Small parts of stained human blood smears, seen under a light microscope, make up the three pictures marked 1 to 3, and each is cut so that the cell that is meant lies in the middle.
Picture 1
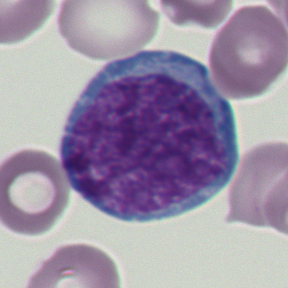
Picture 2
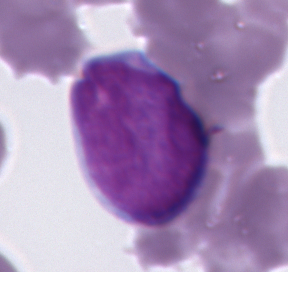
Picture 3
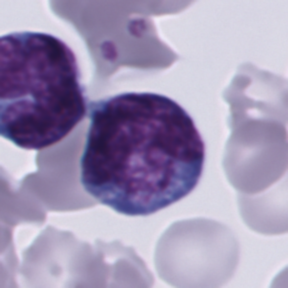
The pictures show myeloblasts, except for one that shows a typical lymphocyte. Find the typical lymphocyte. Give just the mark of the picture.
3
